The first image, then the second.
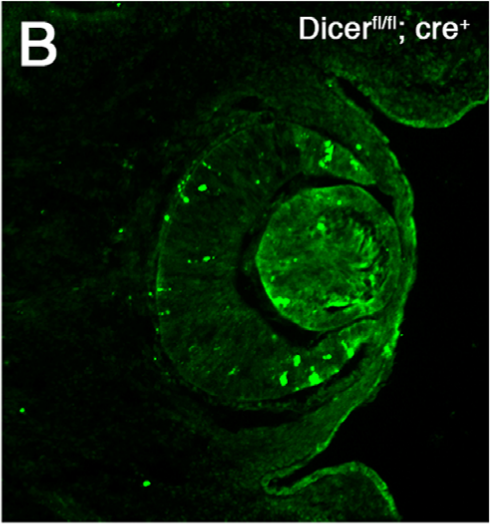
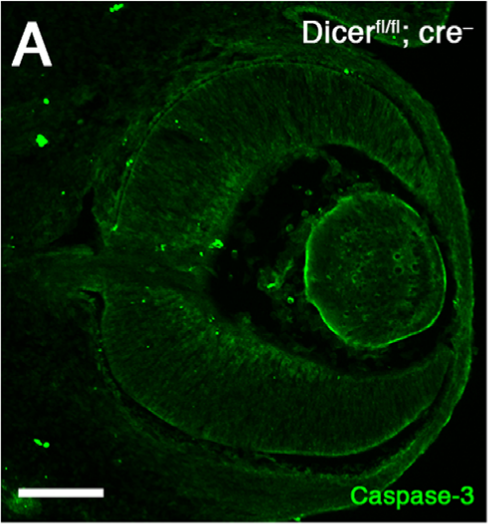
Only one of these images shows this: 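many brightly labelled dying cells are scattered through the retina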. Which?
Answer: The first image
